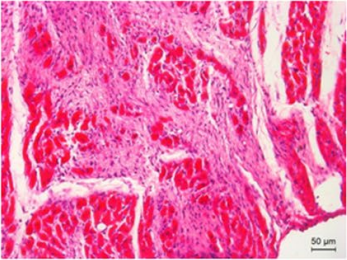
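Heart muscle in which bright red fiber bundles, cut across and obliquely, are broken into irregular islands. Wide pale pink areas between them are crowded with small dark blue nuclei of infiltrating cells, so the normal parallel arrangement of the muscle is disturbed.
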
